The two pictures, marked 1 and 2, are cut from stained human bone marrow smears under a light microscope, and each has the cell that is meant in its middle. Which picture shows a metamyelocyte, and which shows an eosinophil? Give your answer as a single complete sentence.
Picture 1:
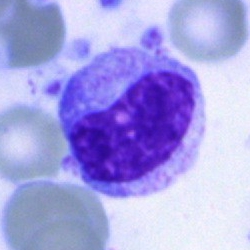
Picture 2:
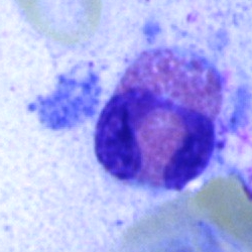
The cell in picture 1 is a metamyelocyte, and the one in picture 2 is an eosinophil.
